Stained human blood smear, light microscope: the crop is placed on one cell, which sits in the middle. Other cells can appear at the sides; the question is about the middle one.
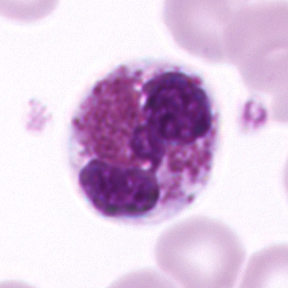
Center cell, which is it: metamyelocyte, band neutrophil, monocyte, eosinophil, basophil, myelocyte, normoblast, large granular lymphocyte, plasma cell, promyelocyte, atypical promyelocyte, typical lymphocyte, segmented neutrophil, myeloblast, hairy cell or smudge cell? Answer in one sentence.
Located at the centre of the crop is an eosinophil.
